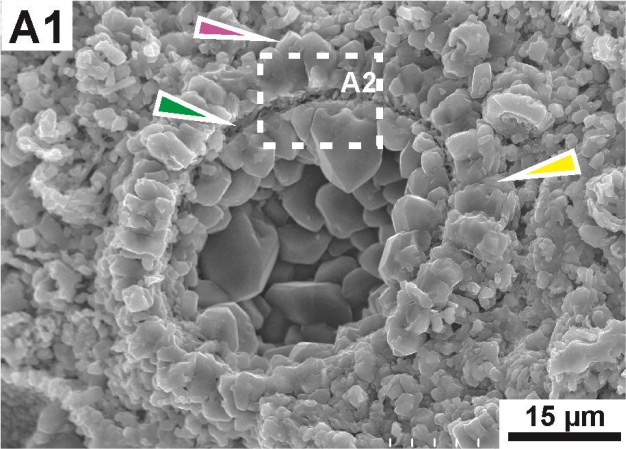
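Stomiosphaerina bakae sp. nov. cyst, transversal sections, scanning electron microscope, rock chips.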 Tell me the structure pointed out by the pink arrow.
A: Calcite plate-like (tabular) crystals with a distinct, pyramid-like top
